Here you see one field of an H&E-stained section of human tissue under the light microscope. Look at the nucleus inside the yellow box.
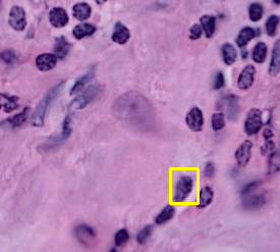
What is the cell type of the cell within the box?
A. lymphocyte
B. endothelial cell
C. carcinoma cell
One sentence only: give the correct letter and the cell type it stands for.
With the cell within the box being a lymphocyte, option A is correct.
